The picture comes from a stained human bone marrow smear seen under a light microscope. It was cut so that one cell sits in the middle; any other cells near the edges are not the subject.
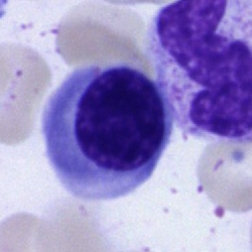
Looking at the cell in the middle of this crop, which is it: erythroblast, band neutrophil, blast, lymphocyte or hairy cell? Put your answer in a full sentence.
The centrally positioned cell in the crop represents an erythroblast.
